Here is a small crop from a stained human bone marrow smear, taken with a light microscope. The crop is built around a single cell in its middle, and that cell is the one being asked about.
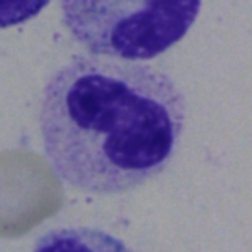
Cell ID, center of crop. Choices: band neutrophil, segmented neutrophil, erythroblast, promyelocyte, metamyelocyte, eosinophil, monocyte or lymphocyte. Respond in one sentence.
The target cell in the middle of the crop is a band neutrophil.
